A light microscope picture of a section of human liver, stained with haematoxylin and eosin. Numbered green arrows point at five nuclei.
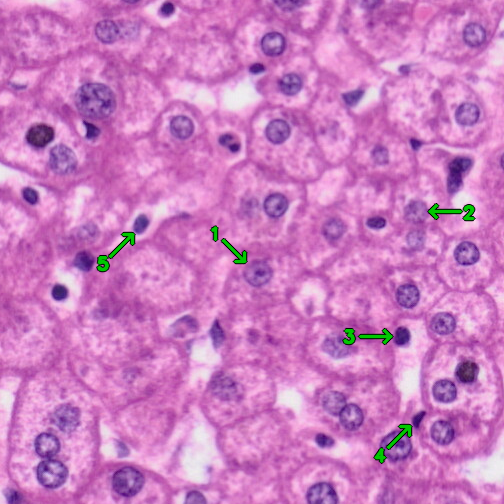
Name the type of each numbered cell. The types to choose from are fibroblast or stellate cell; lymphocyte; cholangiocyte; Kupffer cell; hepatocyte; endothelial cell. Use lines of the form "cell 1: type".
cell 1: hepatocyte
cell 2: hepatocyte
cell 3: lymphocyte
cell 4: fibroblast or stellate cell
cell 5: lymphocyte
